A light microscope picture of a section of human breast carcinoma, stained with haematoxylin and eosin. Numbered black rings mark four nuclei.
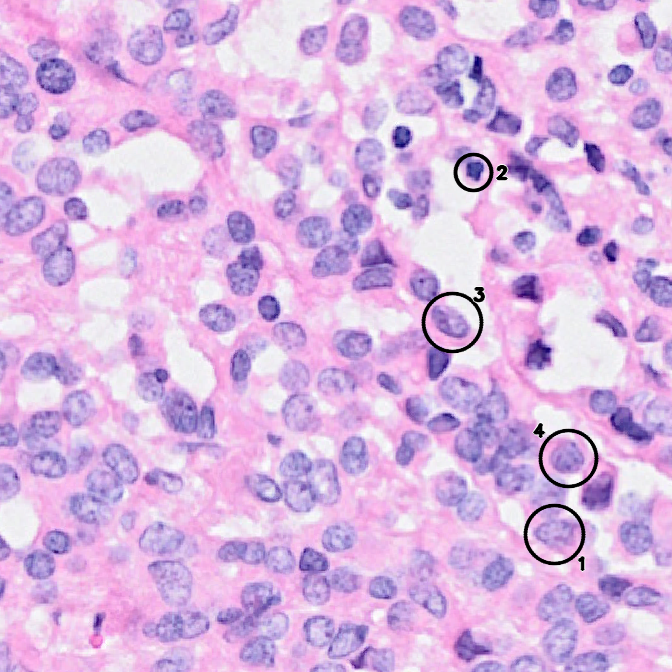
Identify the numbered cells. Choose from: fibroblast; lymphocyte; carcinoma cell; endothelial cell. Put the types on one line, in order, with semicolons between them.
carcinoma cell; lymphocyte; carcinoma cell; carcinoma cell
